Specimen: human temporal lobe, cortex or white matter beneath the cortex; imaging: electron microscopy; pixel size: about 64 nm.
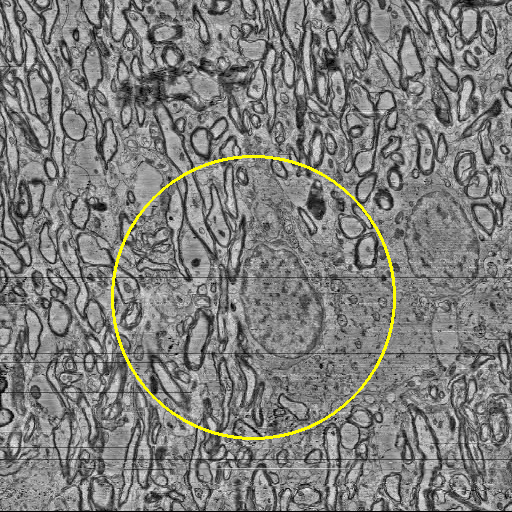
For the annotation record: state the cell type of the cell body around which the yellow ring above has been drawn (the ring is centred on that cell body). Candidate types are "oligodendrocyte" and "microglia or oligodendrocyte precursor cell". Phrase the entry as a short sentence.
The ringed cell is an oligodendrocyte.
